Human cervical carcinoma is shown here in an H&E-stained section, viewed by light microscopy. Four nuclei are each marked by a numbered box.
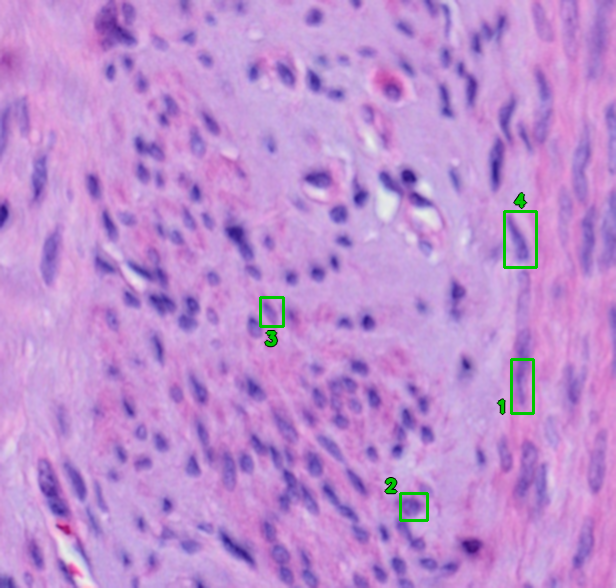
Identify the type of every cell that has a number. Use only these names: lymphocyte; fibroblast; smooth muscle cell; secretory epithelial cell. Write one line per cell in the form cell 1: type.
cell 1: smooth muscle cell
cell 2: smooth muscle cell
cell 3: smooth muscle cell
cell 4: fibroblast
